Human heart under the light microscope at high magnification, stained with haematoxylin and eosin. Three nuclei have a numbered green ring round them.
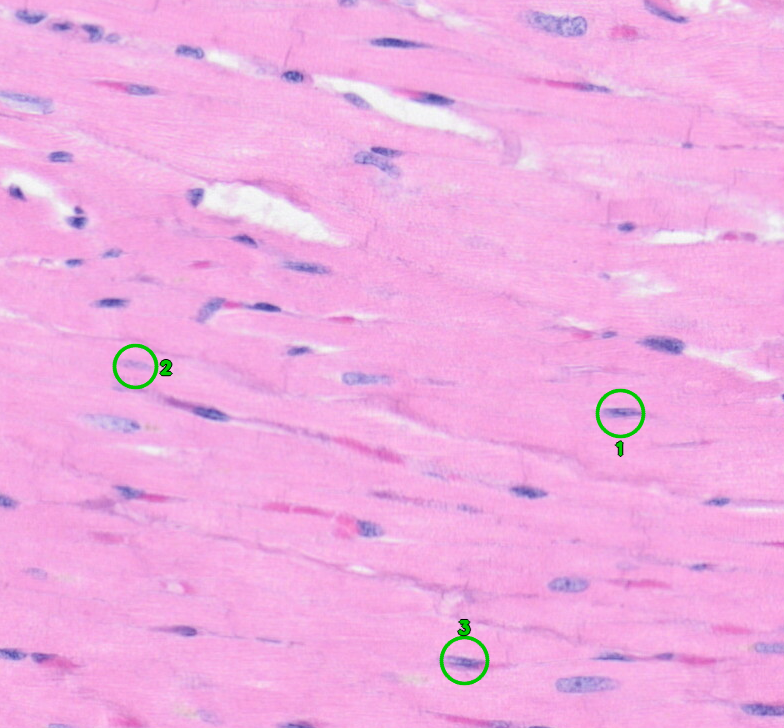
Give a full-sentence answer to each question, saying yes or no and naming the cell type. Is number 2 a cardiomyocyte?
Yes, the cell with number 2 is a cardiomyocyte.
